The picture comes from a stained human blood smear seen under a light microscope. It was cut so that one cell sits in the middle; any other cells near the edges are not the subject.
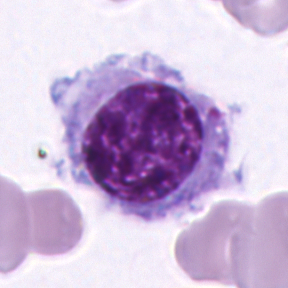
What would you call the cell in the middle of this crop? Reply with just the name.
plasma cell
